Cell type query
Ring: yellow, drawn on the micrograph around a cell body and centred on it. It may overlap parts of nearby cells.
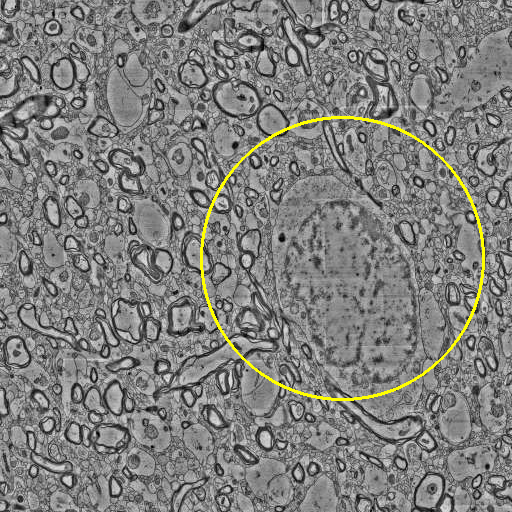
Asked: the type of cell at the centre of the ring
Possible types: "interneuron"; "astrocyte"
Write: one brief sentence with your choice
The ring marks an interneuron.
